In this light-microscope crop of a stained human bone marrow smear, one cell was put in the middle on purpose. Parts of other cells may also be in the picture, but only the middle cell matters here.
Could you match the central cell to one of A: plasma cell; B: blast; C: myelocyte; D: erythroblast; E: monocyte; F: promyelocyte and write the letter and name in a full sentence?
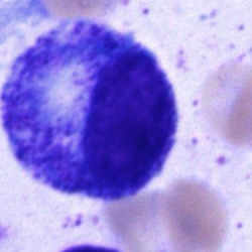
Seen at the centre of the crop is a promyelocyte, so option F is correct.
